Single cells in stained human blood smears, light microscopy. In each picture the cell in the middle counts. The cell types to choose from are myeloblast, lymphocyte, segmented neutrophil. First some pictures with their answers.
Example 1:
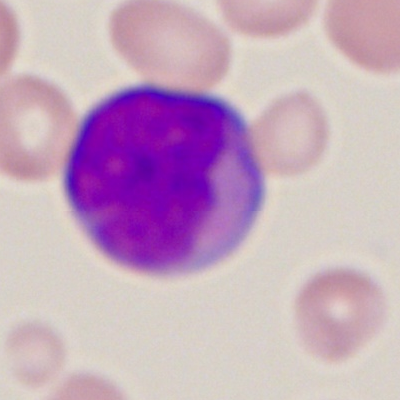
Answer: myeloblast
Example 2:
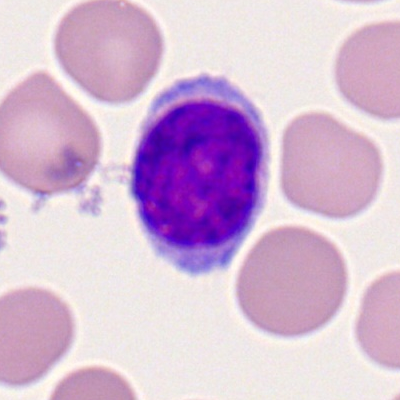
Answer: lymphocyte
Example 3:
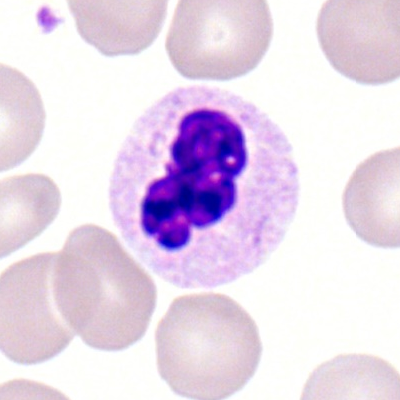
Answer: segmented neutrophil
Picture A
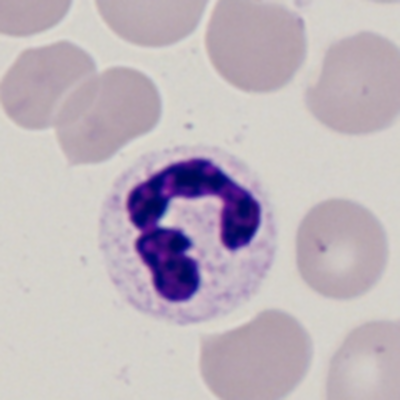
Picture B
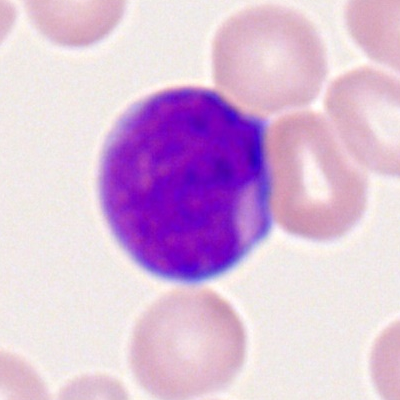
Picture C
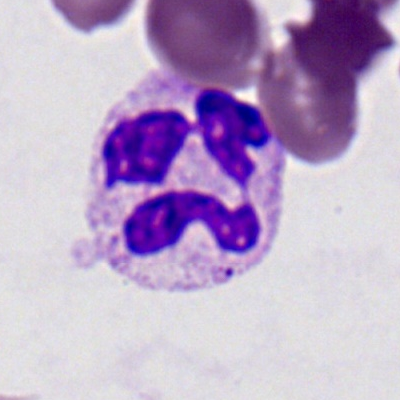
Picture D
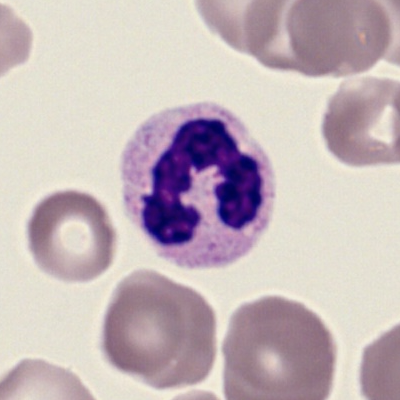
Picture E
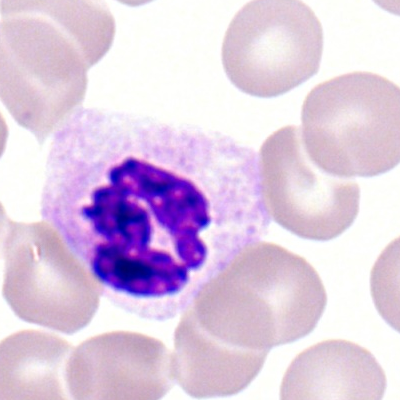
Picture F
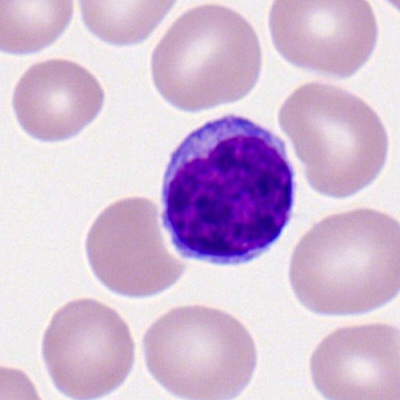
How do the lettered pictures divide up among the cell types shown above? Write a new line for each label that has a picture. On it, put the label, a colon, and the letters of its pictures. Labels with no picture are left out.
myeloblast: B
lymphocyte: F
segmented neutrophil: A, C, D, E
